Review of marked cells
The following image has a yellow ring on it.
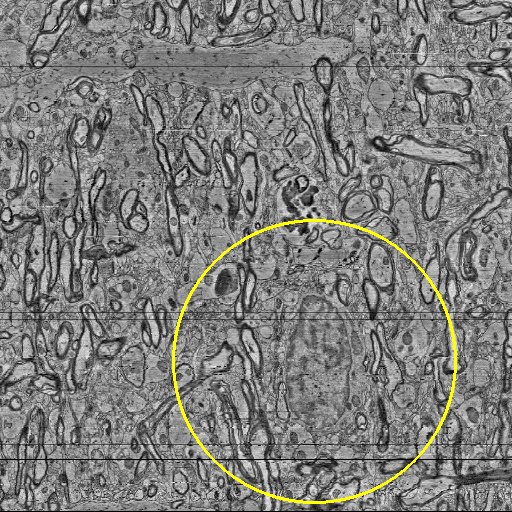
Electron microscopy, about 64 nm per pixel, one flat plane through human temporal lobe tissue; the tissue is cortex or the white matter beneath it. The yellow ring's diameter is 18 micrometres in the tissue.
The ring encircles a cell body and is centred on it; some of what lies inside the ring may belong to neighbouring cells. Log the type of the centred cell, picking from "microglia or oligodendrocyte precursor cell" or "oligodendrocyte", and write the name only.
oligodendrocyte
